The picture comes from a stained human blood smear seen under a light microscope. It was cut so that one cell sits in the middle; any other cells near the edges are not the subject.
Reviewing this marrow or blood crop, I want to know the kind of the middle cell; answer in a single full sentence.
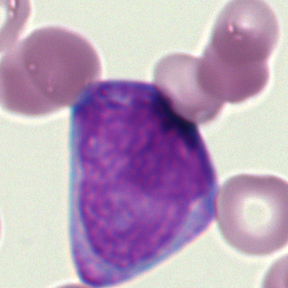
The cell shown in the center of this light-microscope crop is an atypical promyelocyte.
